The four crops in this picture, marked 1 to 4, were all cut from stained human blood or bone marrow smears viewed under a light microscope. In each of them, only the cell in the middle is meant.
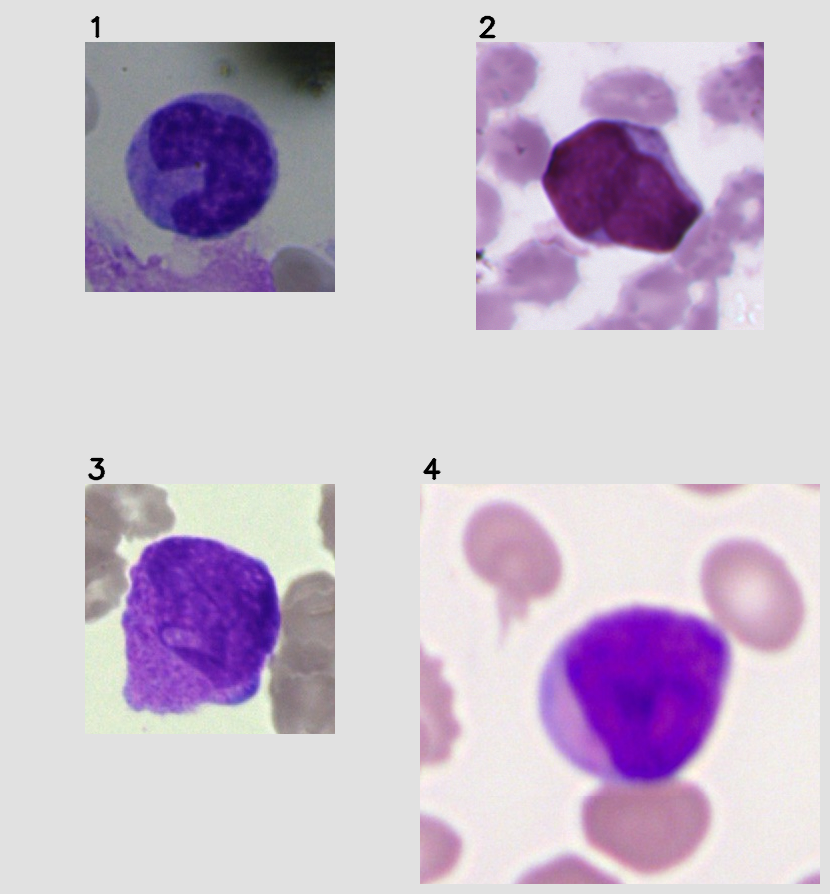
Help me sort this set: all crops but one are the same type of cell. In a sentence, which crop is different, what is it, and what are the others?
Where the others show blasts, crop 1 shows a monocyte.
